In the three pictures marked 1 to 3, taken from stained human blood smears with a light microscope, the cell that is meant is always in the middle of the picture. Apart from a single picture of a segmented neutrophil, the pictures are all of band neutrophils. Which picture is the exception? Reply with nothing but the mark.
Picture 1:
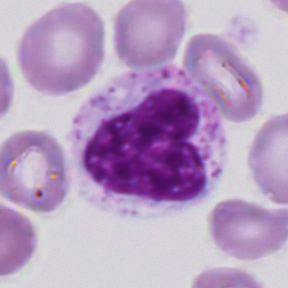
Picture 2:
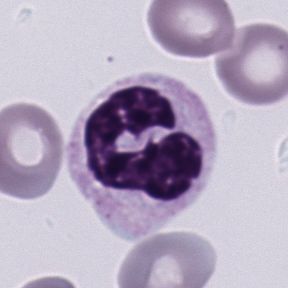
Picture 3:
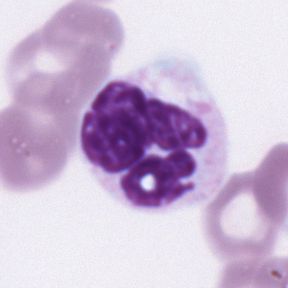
3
